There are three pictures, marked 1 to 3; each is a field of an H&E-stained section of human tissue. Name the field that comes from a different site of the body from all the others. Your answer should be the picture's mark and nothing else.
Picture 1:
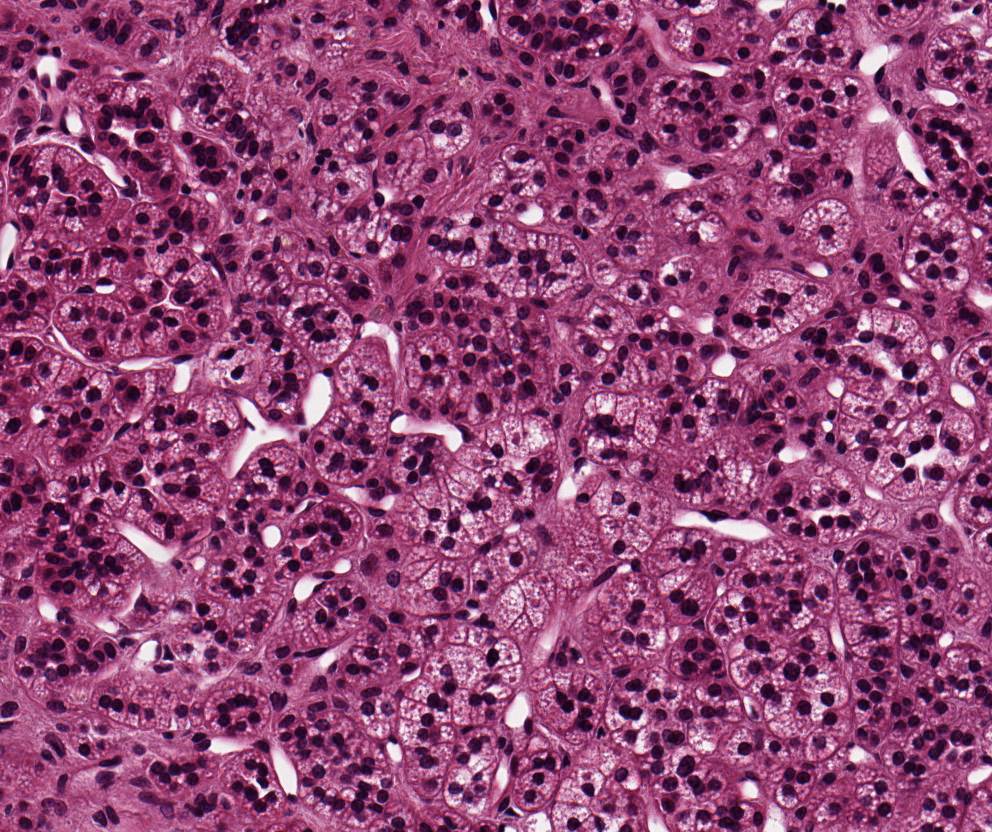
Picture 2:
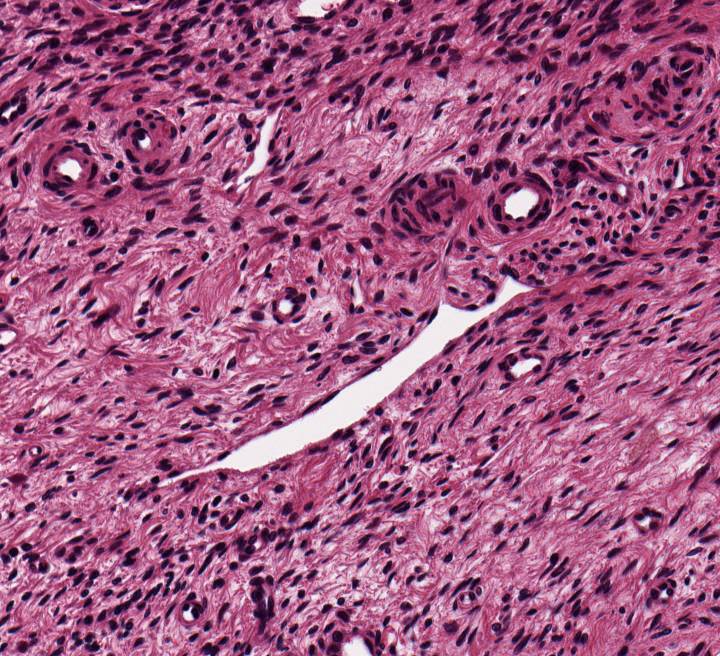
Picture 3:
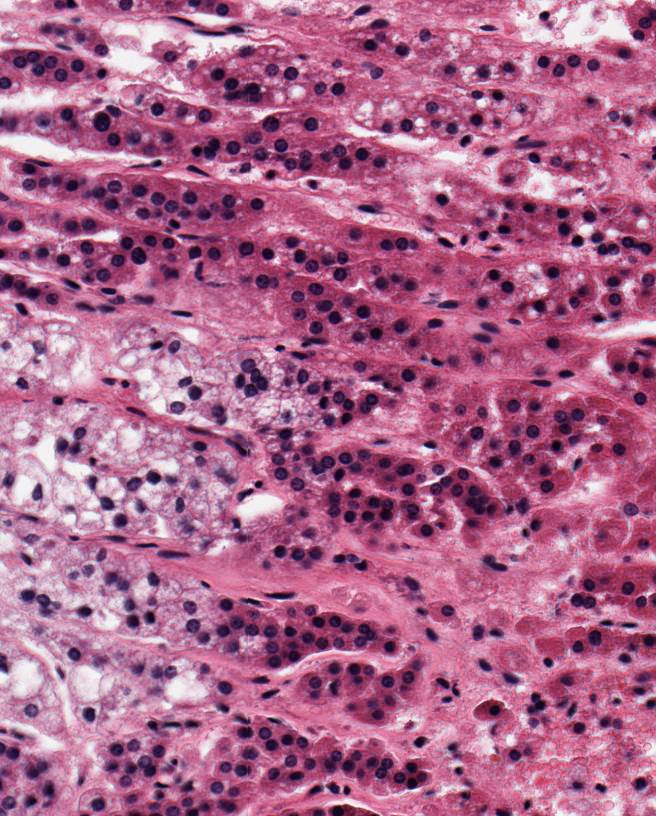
2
